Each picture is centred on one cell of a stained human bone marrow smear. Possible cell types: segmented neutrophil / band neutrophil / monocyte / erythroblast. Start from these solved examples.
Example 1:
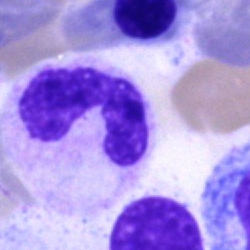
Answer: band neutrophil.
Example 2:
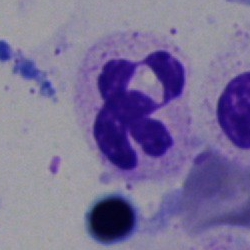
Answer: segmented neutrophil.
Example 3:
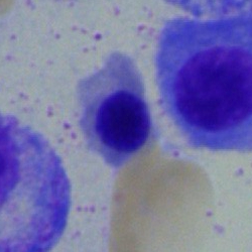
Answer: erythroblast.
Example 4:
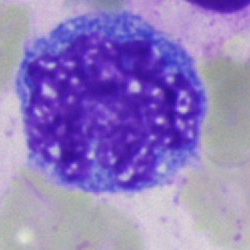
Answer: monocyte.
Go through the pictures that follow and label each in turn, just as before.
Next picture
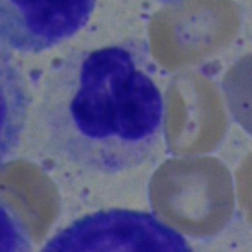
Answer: segmented neutrophil.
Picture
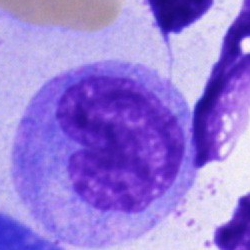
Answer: monocyte.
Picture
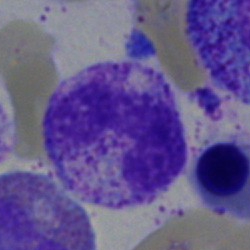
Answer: band neutrophil.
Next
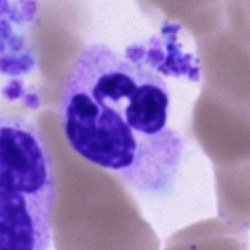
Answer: segmented neutrophil.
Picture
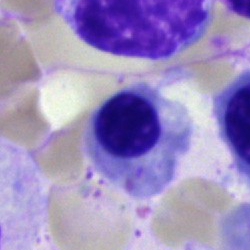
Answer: erythroblast.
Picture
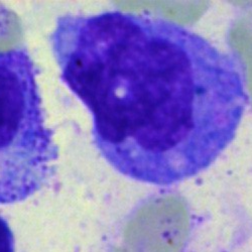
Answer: monocyte.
